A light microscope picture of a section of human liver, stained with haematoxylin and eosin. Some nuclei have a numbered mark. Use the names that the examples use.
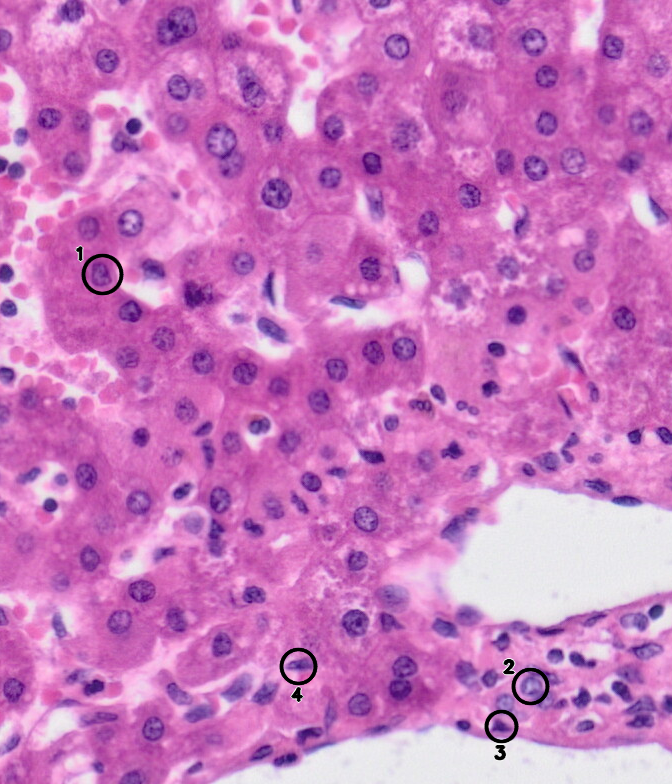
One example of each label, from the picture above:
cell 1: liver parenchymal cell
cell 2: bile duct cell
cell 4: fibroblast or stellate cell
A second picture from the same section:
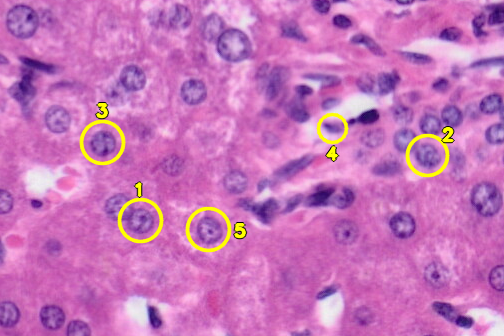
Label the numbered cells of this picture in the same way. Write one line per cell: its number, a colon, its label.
1: liver parenchymal cell
2: bile duct cell
3: liver parenchymal cell
4: fibroblast or stellate cell
5: liver parenchymal cell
